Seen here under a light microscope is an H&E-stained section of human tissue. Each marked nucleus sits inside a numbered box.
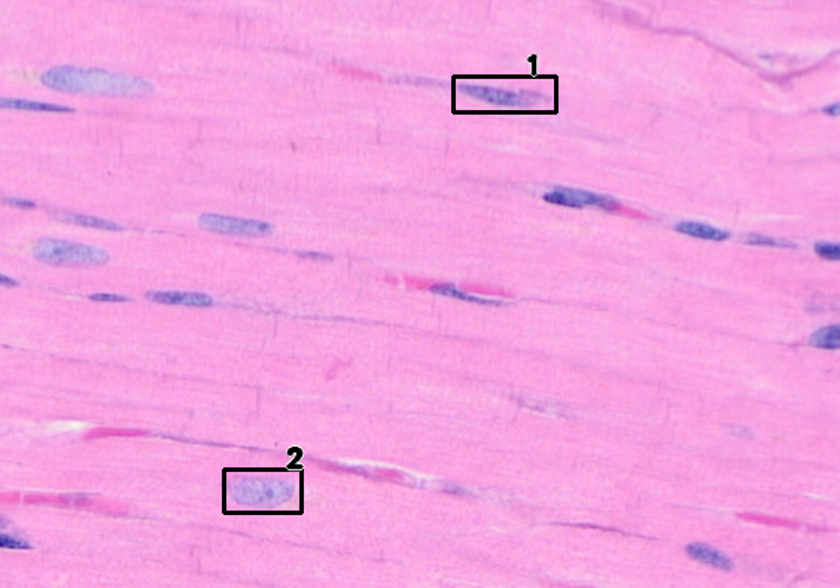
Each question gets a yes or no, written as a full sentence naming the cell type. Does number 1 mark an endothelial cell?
Yes, regarding cell number 1, it is an endothelial cell.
